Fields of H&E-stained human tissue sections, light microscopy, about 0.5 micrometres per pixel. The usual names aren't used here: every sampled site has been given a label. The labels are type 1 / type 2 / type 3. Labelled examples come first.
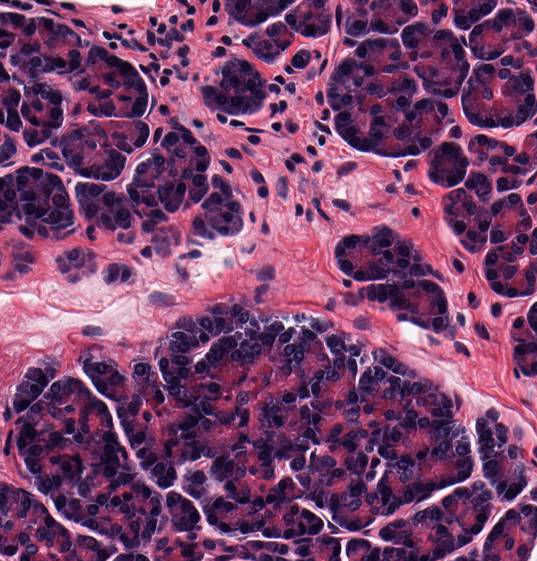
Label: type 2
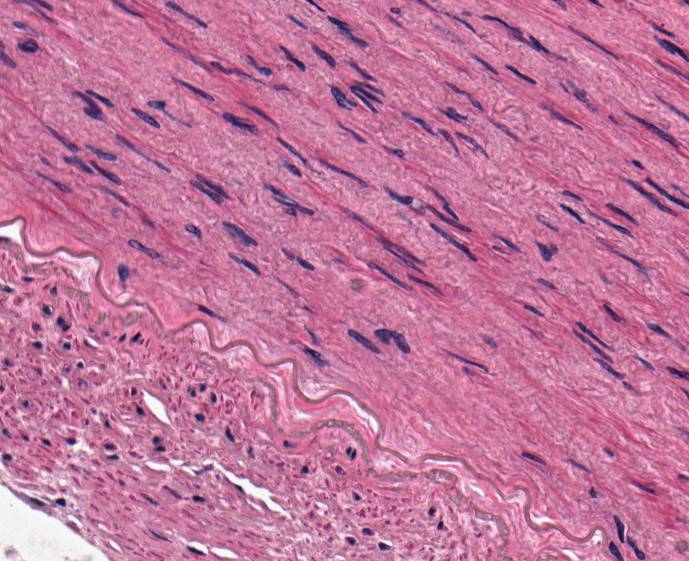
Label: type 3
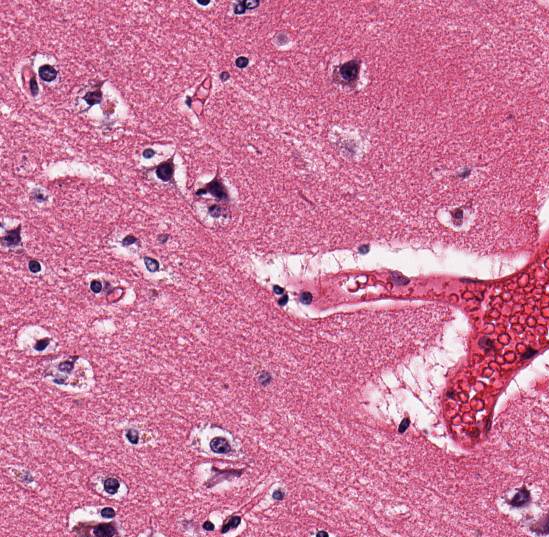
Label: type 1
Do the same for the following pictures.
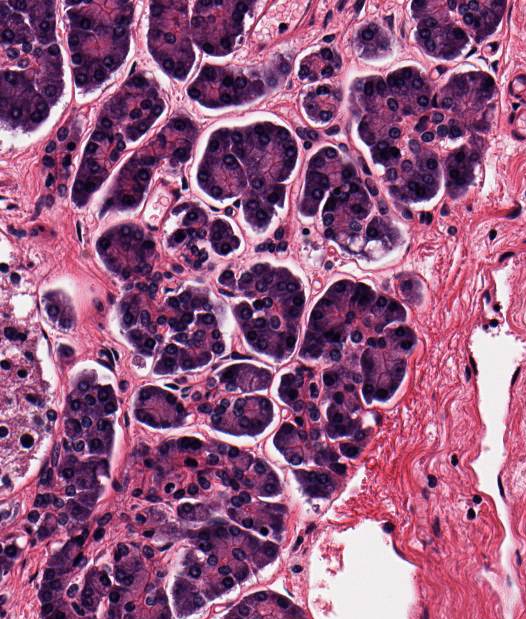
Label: type 2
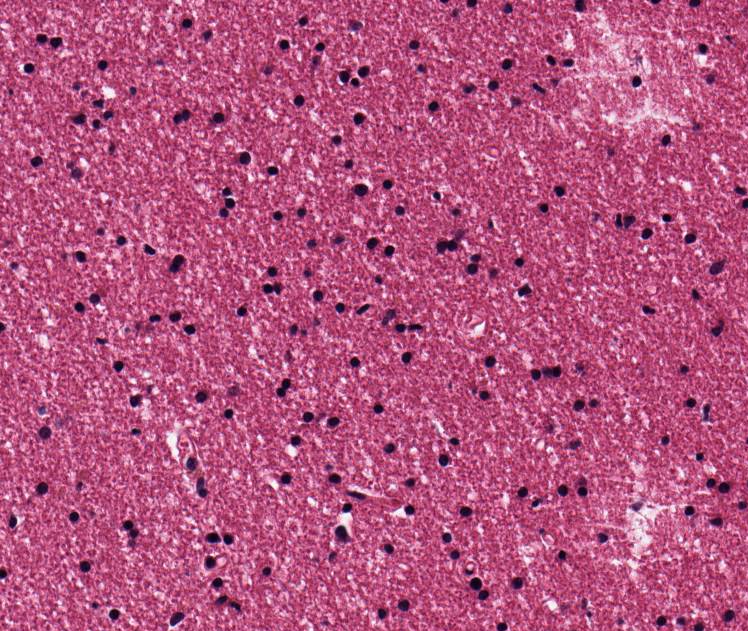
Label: type 1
